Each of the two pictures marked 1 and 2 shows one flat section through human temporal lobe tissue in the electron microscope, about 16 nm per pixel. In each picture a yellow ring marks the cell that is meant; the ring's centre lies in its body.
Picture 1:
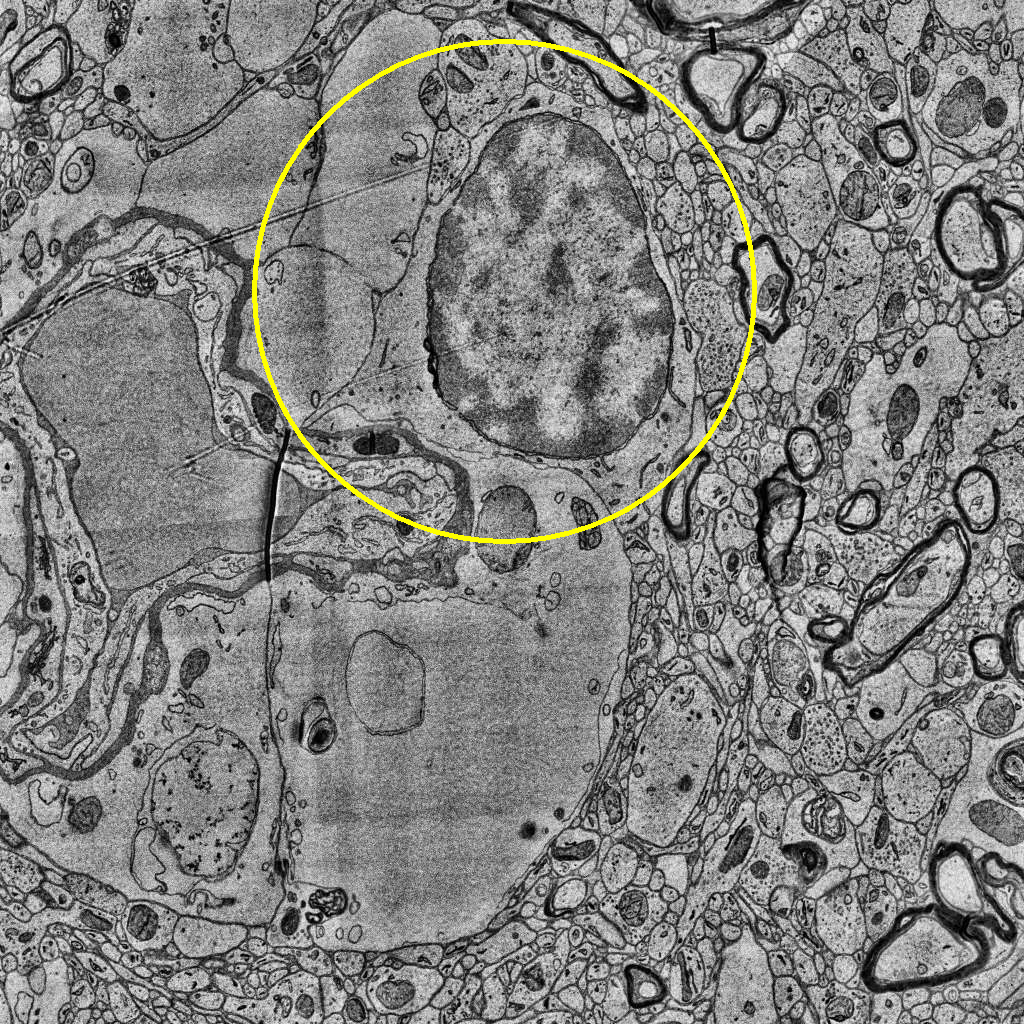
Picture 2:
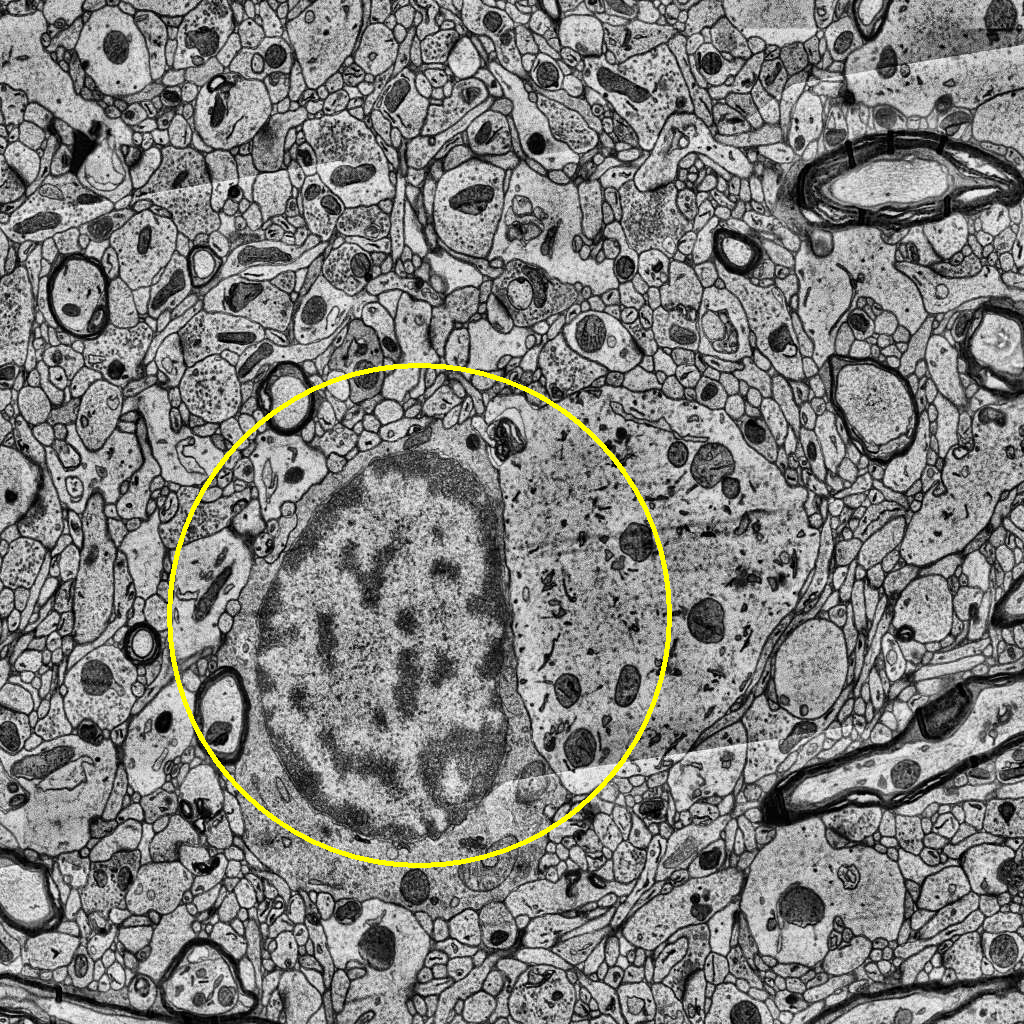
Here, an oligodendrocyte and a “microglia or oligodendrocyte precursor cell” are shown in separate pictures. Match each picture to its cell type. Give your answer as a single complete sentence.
The cell in picture 1 is a “microglia or oligodendrocyte precursor cell”, and the one in picture 2 is an oligodendrocyte.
